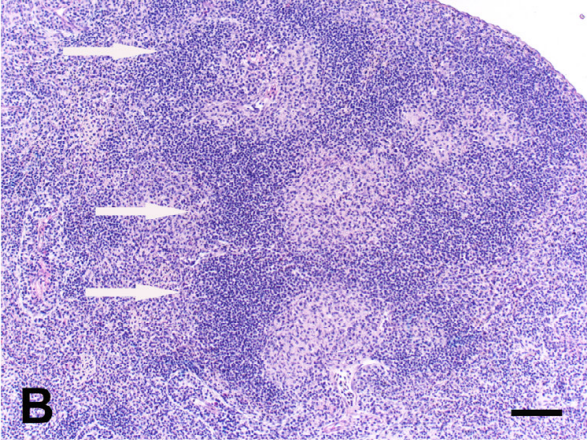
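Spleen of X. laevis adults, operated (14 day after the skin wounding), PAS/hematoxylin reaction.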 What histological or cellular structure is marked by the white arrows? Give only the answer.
Well developed lymphoid follicles with central light cores.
